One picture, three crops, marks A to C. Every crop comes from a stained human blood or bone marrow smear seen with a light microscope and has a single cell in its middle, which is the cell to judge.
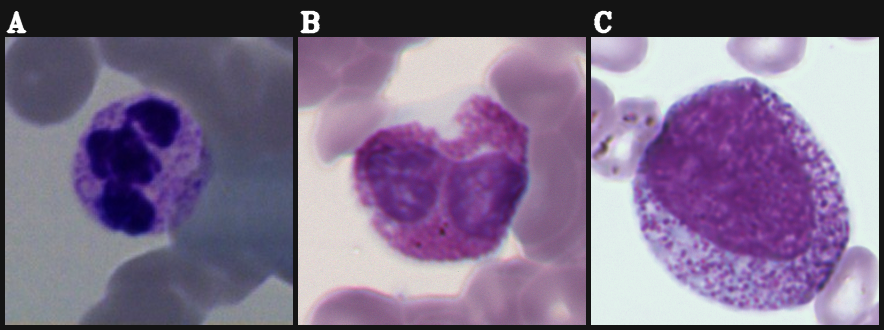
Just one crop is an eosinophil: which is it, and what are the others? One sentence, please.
The cell sitting in crop B is an eosinophil, while crop A is a segmented neutrophil and crop C is a promyelocyte.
